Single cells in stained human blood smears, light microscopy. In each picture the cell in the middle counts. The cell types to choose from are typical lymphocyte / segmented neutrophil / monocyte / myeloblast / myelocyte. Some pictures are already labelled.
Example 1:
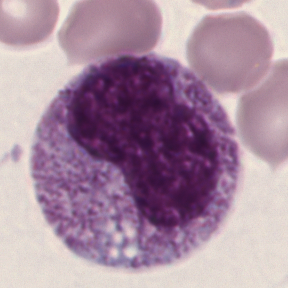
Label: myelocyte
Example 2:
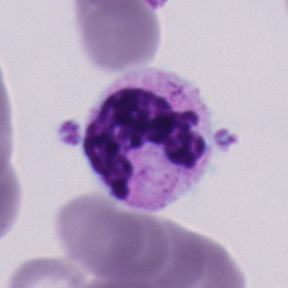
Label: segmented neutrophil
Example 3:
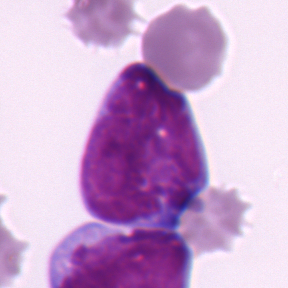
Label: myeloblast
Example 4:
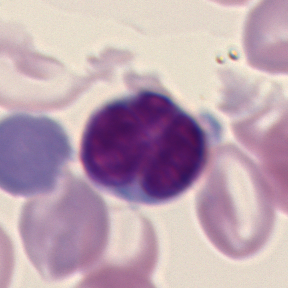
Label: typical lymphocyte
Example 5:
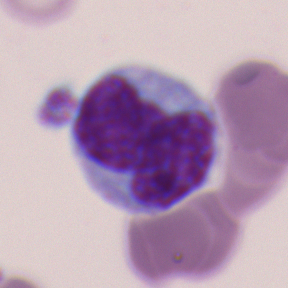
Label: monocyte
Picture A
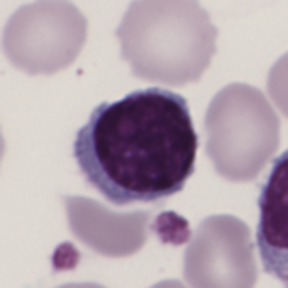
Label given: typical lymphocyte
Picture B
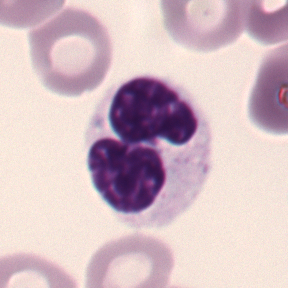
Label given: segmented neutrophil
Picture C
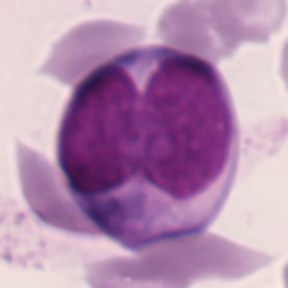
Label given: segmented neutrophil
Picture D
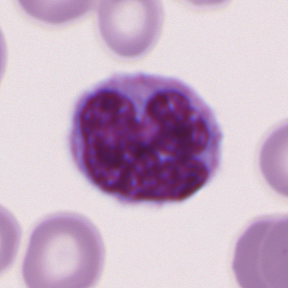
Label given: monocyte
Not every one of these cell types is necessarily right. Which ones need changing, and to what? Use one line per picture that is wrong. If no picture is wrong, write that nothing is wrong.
C should be myeloblast, not segmented neutrophil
